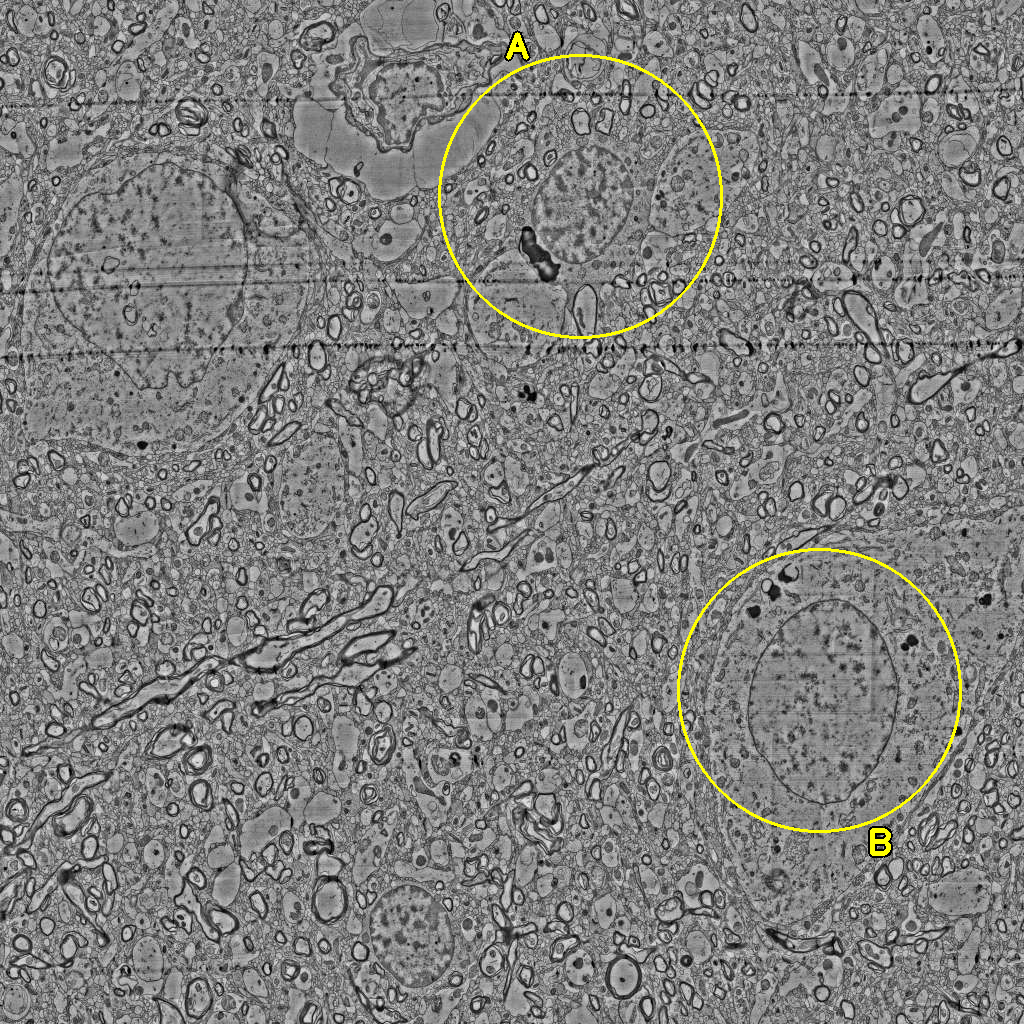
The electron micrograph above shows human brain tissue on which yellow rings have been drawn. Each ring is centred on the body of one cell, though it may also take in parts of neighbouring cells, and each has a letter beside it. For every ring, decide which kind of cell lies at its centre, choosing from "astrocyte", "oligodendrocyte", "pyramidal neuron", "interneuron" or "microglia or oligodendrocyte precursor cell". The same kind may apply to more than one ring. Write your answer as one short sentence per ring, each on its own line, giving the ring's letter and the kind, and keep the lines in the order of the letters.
Ring A is centred on an oligodendrocyte.
Ring B is centred on a pyramidal neuron.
